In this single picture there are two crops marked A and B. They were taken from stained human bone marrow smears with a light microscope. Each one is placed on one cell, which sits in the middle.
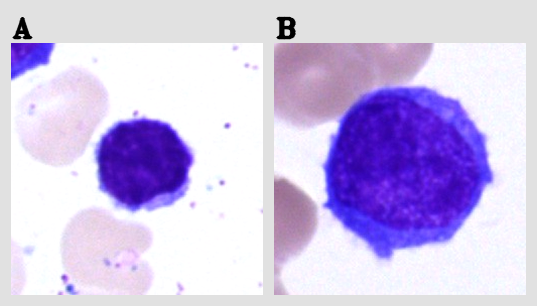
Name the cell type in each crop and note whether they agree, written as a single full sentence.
No, within crop A lies a lymphocyte, and within crop B lies a blast.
